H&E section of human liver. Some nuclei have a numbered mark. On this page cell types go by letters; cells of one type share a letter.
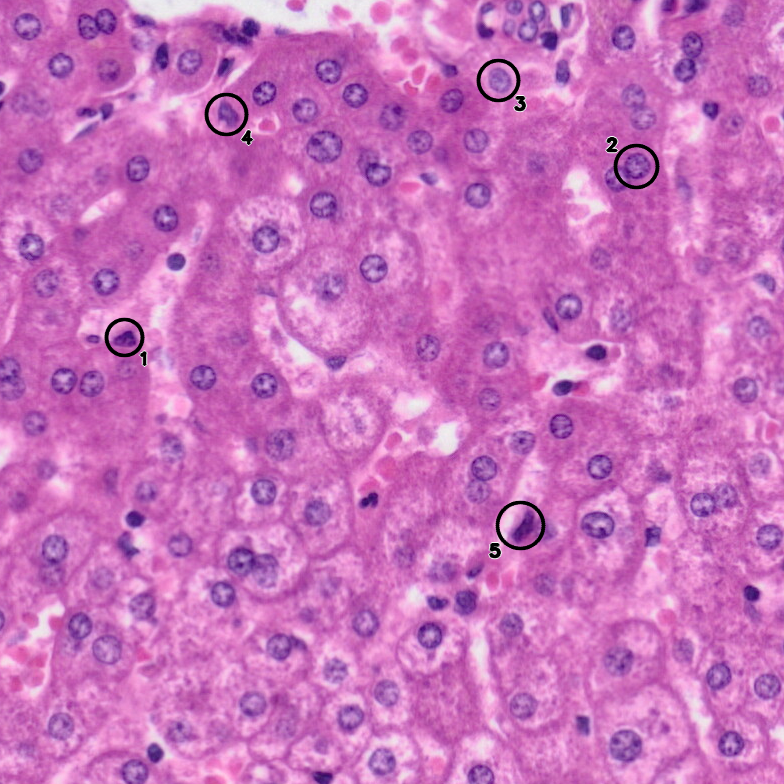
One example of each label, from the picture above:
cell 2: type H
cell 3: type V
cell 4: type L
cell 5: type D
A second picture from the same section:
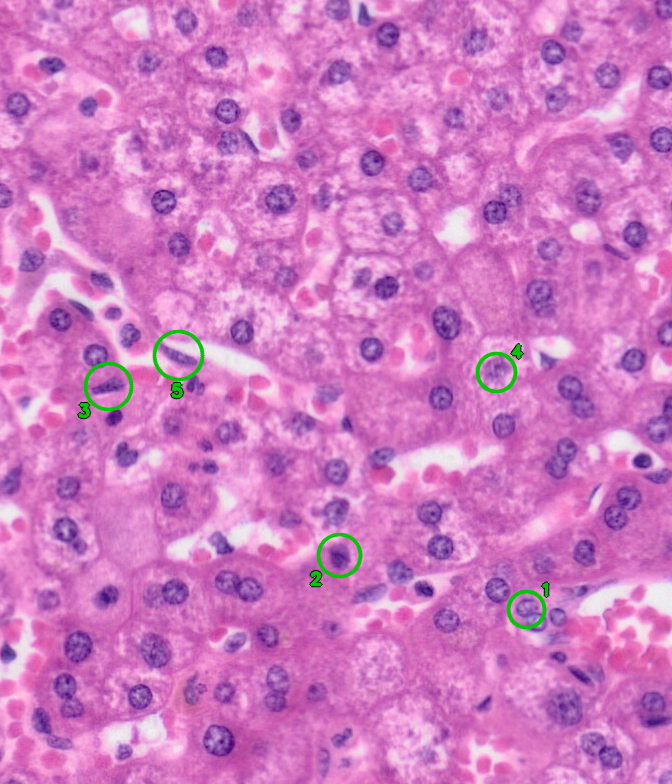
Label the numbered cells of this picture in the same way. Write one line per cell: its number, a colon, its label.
1: type V
2: type L
3: type L
4: type H
5: type D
